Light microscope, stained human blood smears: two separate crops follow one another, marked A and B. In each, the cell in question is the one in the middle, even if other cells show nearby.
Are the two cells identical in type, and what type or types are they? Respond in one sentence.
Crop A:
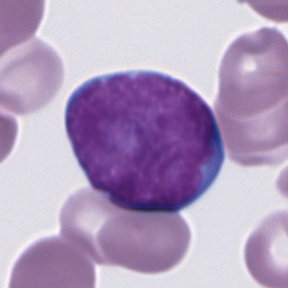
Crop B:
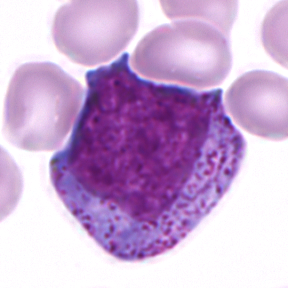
No, crop A corresponds to a myeloblast, while crop B corresponds to a promyelocyte.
